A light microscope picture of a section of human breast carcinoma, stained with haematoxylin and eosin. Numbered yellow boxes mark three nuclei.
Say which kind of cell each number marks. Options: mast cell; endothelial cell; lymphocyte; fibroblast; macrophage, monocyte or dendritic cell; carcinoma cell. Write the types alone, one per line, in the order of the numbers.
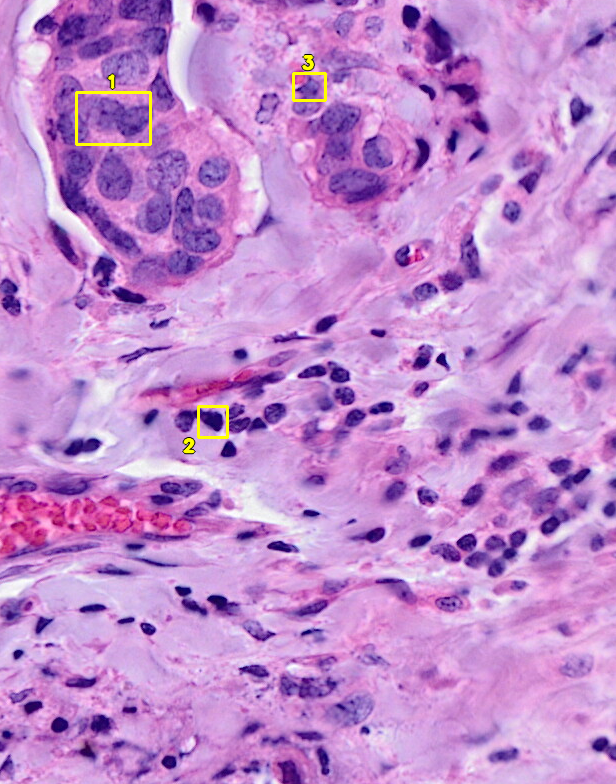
carcinoma cell
lymphocyte
endothelial cell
